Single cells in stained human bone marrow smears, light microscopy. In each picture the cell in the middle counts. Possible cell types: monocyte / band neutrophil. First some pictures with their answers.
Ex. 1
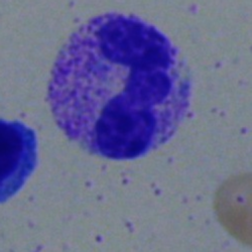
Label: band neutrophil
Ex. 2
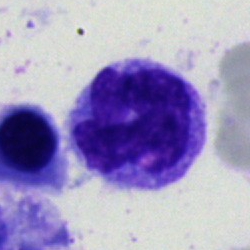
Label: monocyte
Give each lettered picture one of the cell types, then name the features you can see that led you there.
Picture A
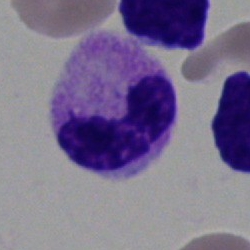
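Answer: band neutrophil. The cytoplasm is plentiful and pale lilac, filling the upper part of the cell.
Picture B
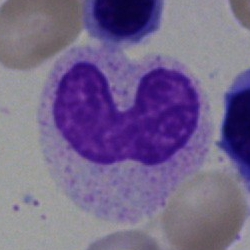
Answer: band neutrophil. The cytoplasm is abundant and pale lilac-pink.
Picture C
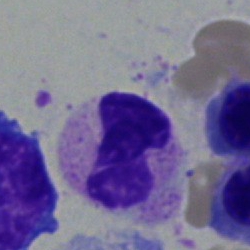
Answer: band neutrophil. The cytoplasm is plentiful and pale pinkish-lilac.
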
